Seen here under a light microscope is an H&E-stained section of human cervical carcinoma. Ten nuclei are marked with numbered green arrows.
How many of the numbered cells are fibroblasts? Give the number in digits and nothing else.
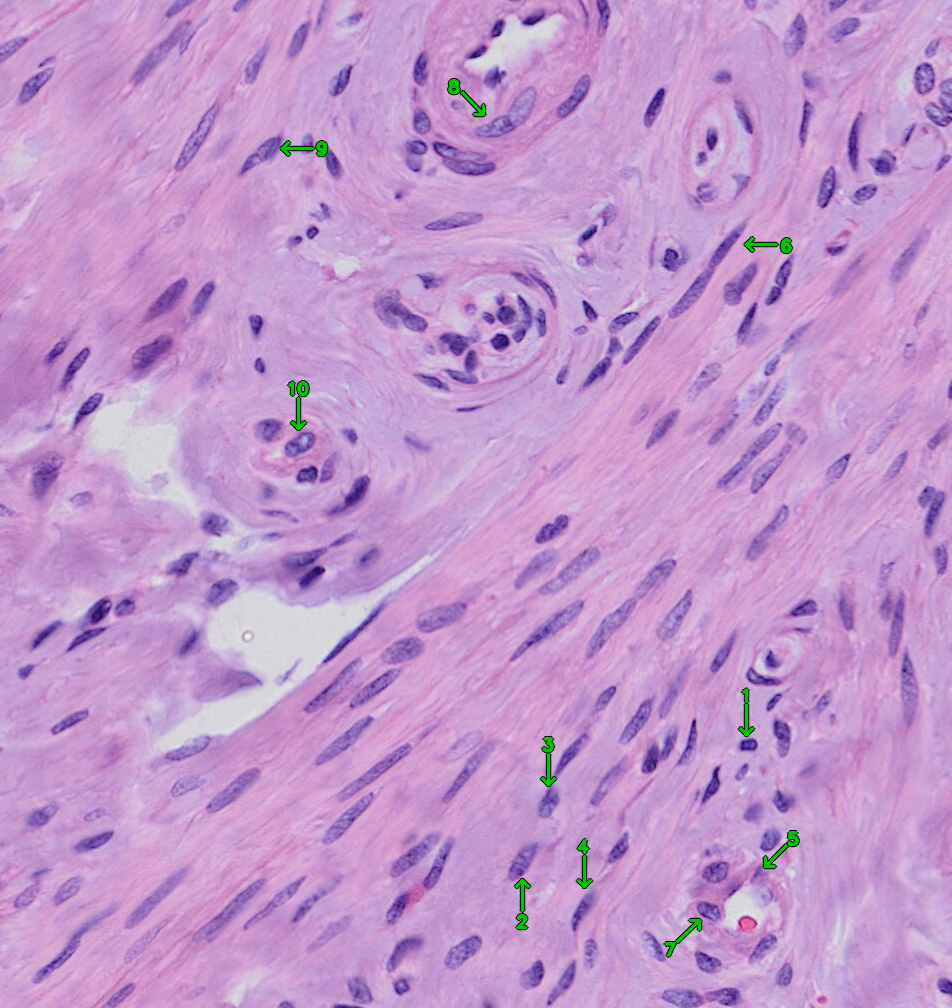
6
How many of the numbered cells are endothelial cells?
3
